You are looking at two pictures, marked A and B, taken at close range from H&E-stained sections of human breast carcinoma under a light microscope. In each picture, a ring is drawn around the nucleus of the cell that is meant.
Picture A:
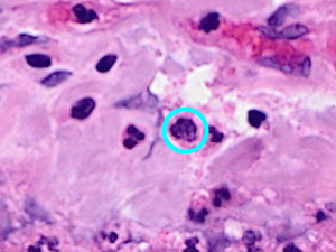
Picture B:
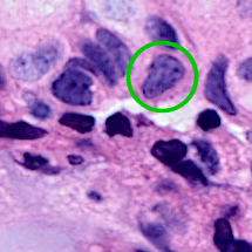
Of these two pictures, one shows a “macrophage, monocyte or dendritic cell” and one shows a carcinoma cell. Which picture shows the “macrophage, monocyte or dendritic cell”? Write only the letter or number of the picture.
A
